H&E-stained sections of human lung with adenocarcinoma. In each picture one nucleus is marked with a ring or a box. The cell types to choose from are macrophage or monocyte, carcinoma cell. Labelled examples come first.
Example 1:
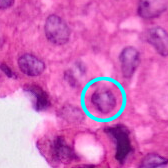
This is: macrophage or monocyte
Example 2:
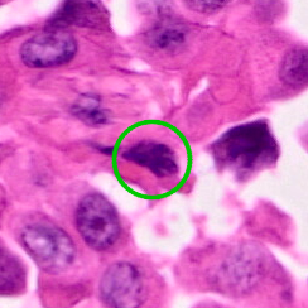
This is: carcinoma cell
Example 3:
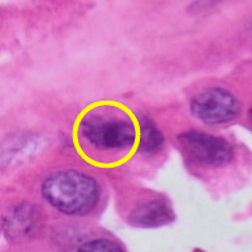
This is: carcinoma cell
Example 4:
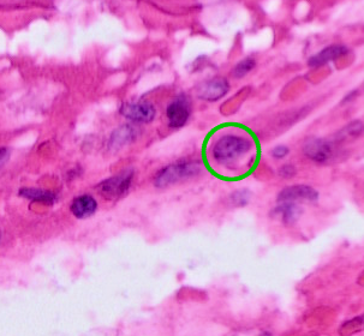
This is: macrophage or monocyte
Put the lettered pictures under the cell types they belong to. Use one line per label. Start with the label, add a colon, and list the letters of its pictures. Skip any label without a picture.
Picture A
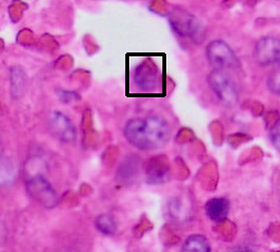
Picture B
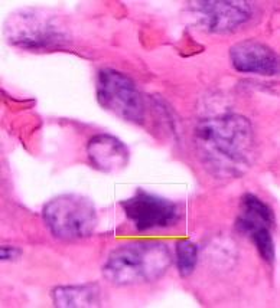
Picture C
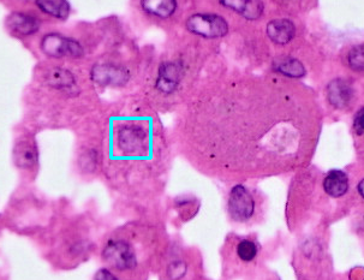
macrophage or monocyte: A, C
carcinoma cell: B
